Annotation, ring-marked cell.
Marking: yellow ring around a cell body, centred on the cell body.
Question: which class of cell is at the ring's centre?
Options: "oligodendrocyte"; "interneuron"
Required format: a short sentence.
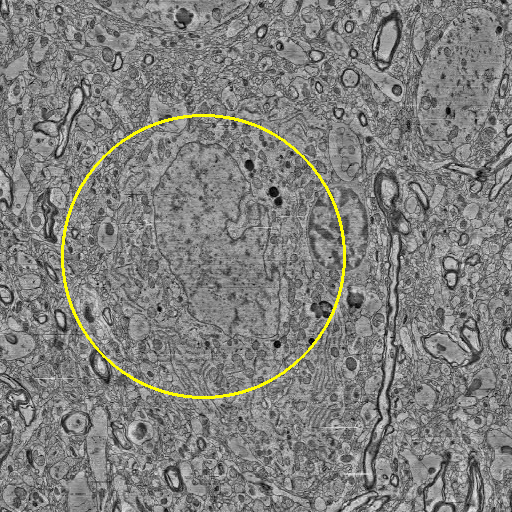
At the ring's centre is an interneuron.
